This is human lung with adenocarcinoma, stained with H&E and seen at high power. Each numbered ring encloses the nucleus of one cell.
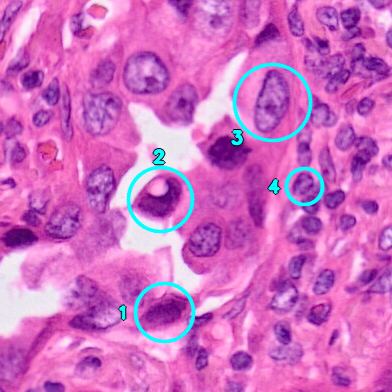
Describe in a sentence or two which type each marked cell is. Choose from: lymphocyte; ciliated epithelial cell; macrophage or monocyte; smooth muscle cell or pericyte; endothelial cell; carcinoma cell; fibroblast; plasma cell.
Cell 1 is a carcinoma cell, cell 2 is a carcinoma cell, cell 3 is a carcinoma cell and cell 4 is a lymphocyte.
